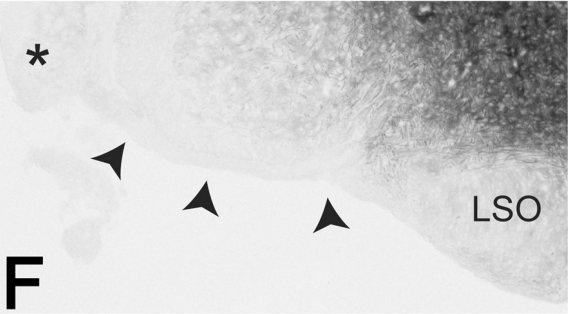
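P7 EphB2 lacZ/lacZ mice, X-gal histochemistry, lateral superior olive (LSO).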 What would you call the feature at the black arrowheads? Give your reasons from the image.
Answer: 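The arrowheads line a pale band along the ventral edge of the section. The band runs from the asterisk region toward a rounded nucleus at the right.
Conclusion: ventral acoustic stria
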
